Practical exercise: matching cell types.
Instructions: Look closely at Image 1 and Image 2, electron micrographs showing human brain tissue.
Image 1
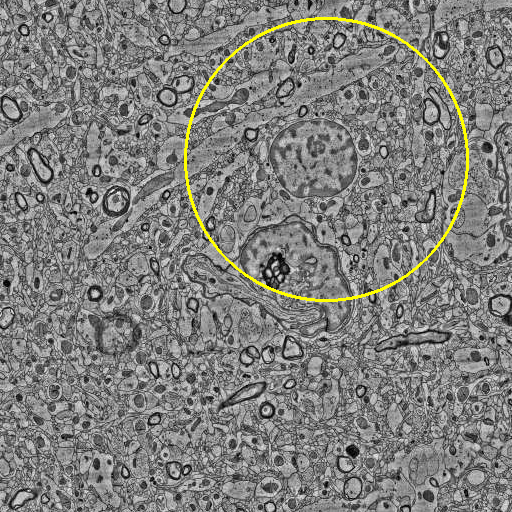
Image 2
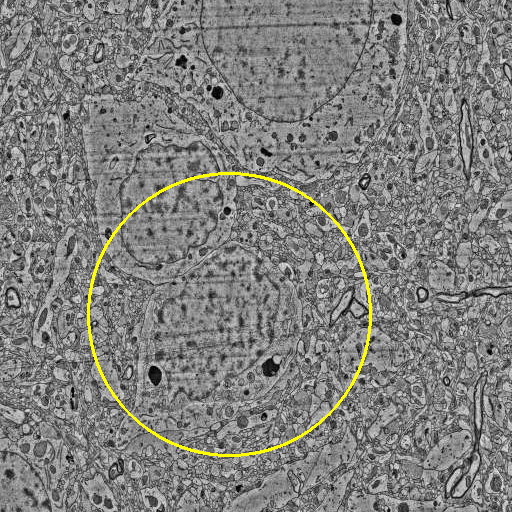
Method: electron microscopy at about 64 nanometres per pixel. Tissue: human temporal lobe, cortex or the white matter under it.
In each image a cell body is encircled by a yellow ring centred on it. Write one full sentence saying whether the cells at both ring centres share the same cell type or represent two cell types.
Across Image 1 and Image 2, the cells at the ring centres represent two cell types.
